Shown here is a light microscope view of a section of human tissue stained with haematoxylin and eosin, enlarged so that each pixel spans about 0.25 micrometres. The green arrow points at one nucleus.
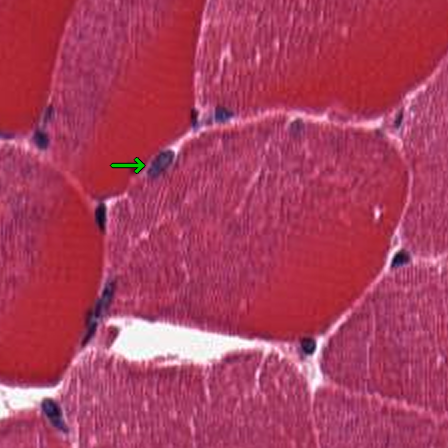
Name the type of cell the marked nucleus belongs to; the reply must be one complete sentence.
What the marked nucleus belongs to is a skeletal muscle fibre.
